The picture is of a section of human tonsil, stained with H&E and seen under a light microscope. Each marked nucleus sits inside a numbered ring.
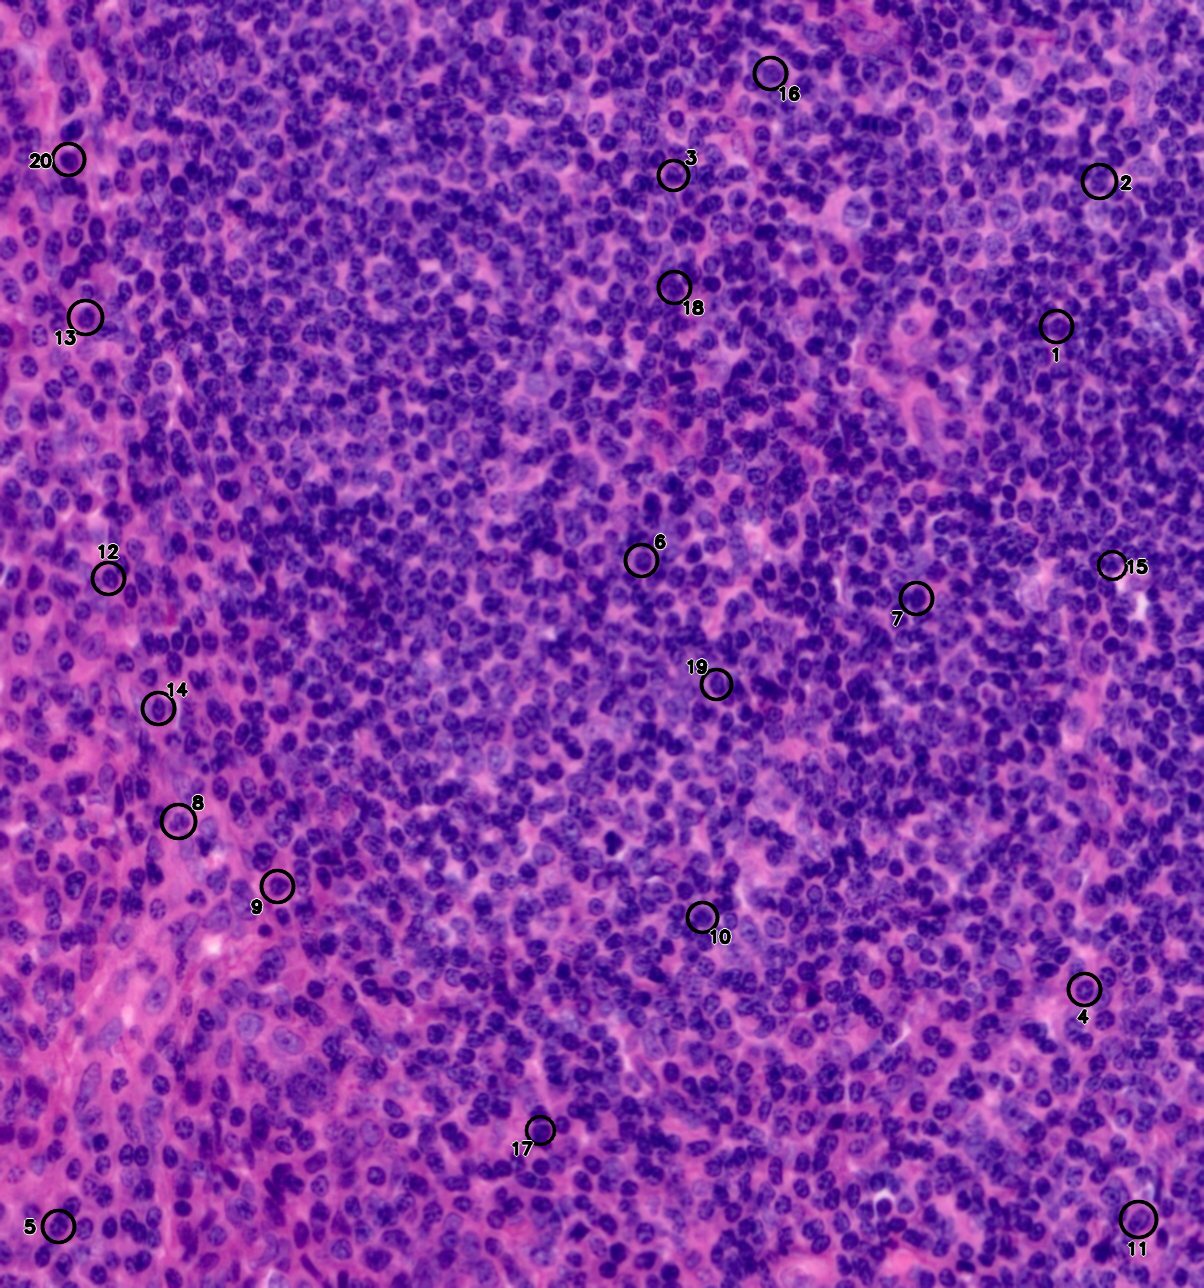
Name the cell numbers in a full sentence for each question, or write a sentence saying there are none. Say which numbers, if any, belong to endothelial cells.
Only the cell with the number 8 is an endothelial cell.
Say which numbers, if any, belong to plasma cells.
The cells referred to by numbers 4, 5, 9, 11, 12, 13, 14, 17 and 20 are plasma cells.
